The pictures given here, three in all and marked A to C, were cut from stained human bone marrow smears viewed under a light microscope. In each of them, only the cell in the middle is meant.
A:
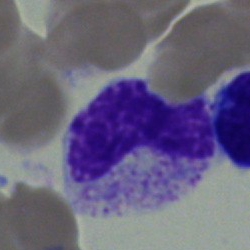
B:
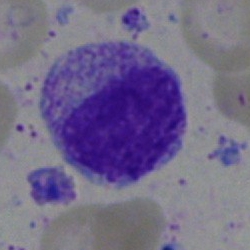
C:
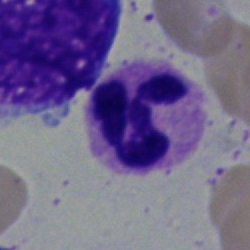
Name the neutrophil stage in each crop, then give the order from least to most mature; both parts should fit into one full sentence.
In terms of maturity, from lowest to highest, the order reads crop B (a myelocyte), crop A (a metamyelocyte) and crop C (a segmented neutrophil).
